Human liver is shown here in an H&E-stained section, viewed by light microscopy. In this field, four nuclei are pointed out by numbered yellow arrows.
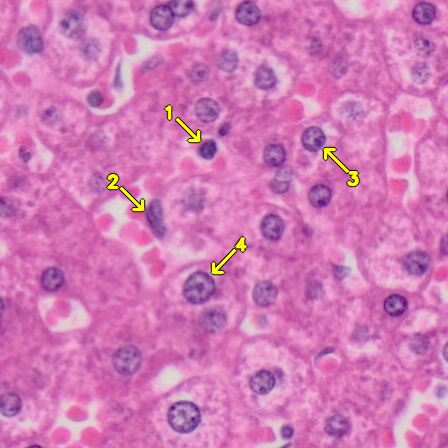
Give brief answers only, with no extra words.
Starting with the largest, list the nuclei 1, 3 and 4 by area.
4, 3, 1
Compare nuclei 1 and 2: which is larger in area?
2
